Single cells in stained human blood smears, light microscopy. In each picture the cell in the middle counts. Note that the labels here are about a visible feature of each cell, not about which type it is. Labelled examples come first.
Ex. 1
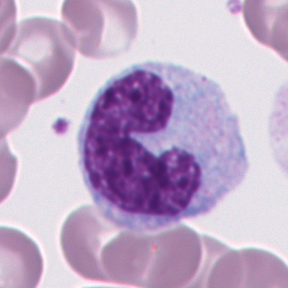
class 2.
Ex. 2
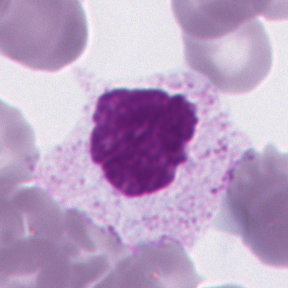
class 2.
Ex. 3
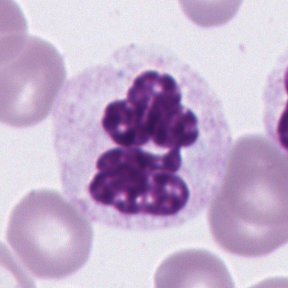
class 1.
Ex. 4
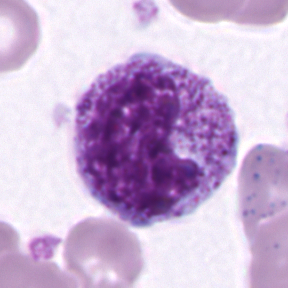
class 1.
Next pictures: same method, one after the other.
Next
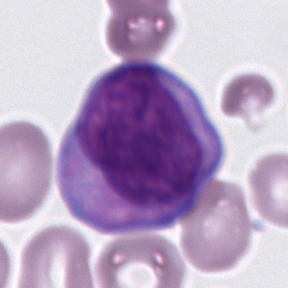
class 2.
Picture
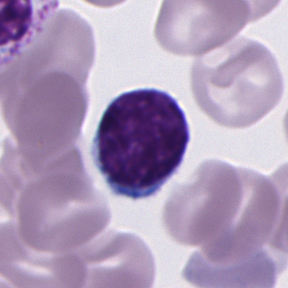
class 2.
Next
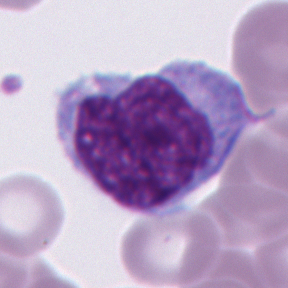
class 2.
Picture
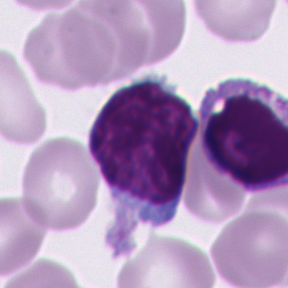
class 2.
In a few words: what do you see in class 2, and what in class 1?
class 2: single compact nucleus; class 1: lobed nucleus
